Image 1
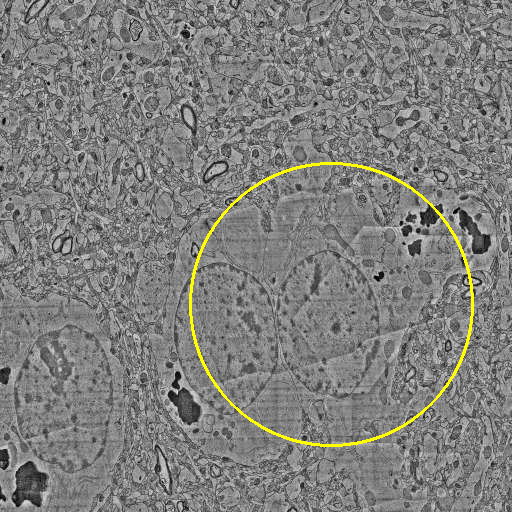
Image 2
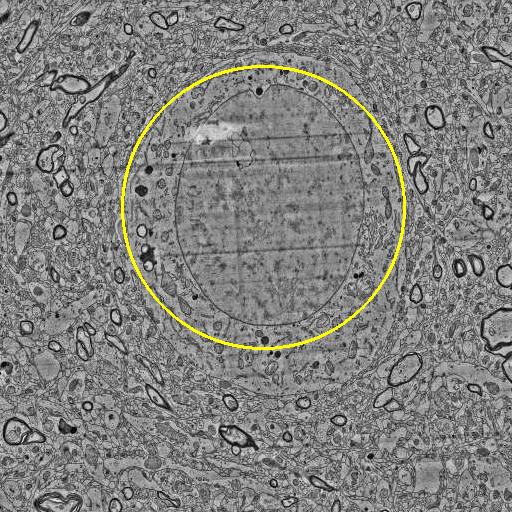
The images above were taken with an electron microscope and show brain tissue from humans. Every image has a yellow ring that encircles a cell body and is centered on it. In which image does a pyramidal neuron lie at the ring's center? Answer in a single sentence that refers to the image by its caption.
In Image 2, the cell at the center of the yellow ring is the correct match.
